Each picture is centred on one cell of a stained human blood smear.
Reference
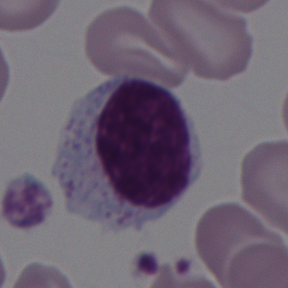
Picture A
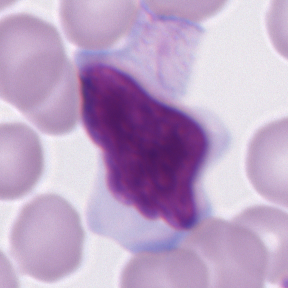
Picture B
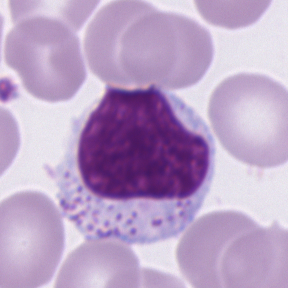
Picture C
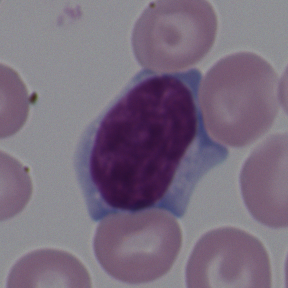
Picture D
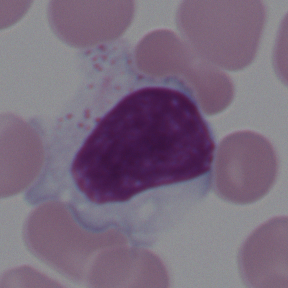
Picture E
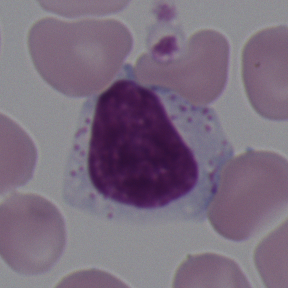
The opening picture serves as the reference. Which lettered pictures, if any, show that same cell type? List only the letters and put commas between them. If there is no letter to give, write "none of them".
A, B, D, E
